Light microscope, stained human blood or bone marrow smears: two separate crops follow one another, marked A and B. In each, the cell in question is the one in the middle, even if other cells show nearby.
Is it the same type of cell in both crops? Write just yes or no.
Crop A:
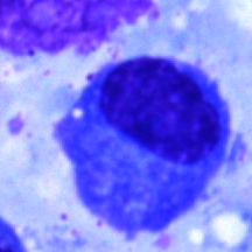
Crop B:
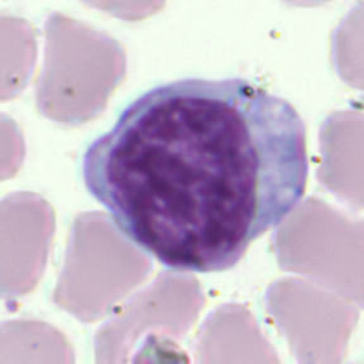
yes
